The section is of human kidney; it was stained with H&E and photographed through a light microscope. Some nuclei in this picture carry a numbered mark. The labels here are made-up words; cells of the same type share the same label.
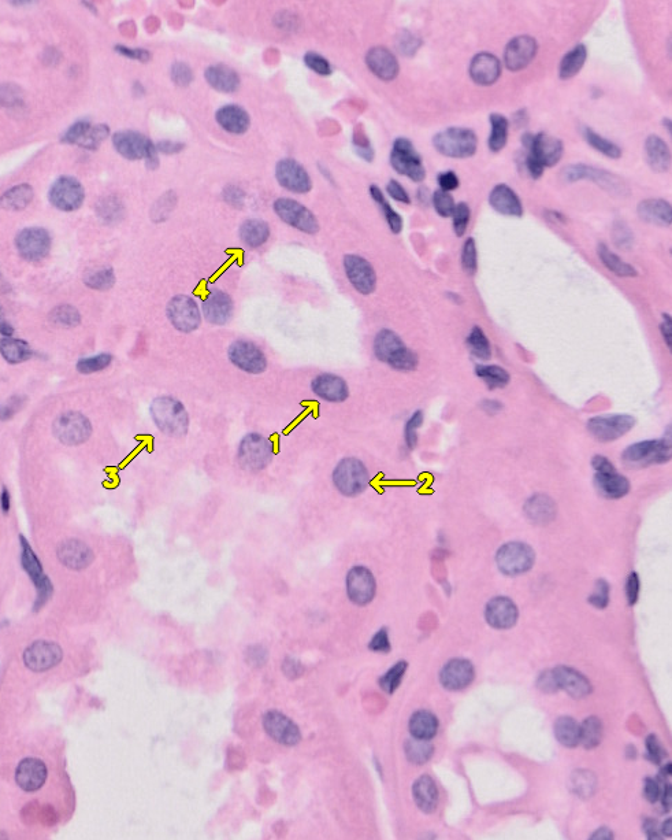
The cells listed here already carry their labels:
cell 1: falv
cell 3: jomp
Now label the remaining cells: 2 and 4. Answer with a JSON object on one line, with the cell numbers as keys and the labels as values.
{"2": "jomp", "4": "falv"}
